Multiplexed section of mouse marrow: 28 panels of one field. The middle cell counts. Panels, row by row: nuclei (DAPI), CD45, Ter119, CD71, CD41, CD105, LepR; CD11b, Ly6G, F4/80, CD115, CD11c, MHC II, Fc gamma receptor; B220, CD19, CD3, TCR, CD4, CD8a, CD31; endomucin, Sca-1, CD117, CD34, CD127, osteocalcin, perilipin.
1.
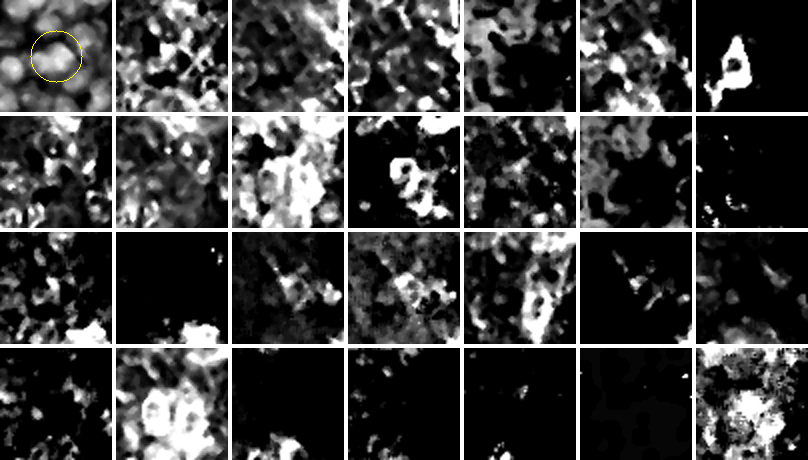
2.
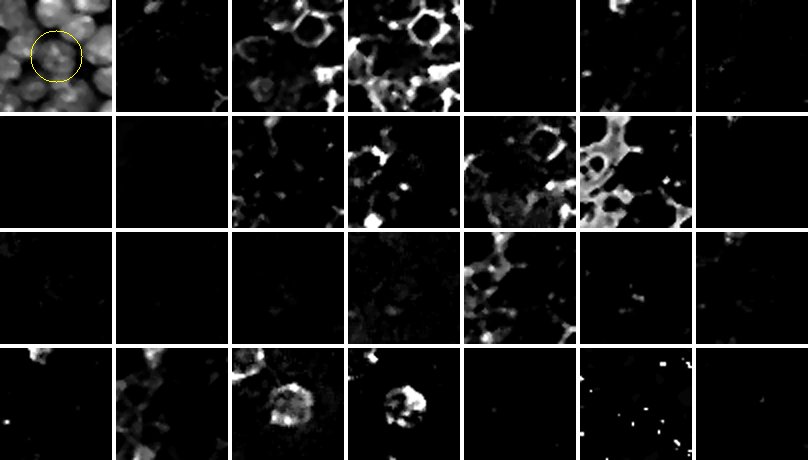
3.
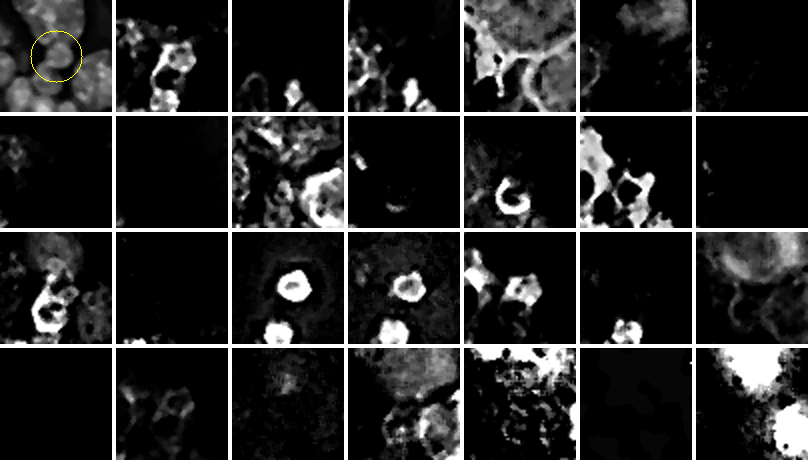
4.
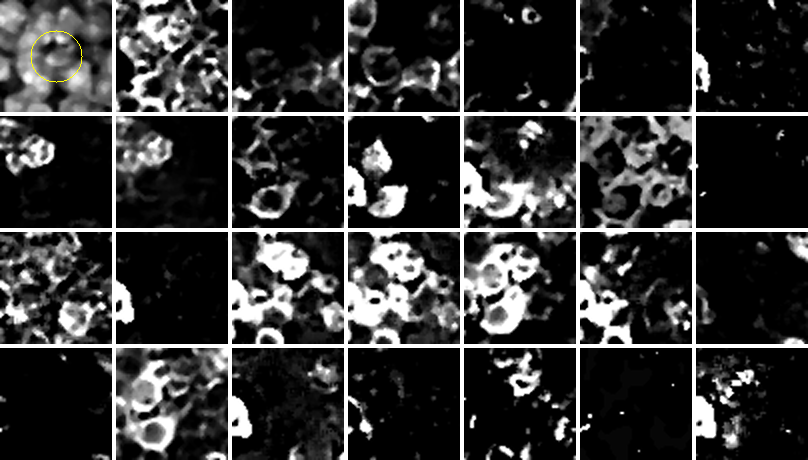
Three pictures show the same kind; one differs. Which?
Picture 2: a common myeloid progenitor, while the others are CD4 T cells.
